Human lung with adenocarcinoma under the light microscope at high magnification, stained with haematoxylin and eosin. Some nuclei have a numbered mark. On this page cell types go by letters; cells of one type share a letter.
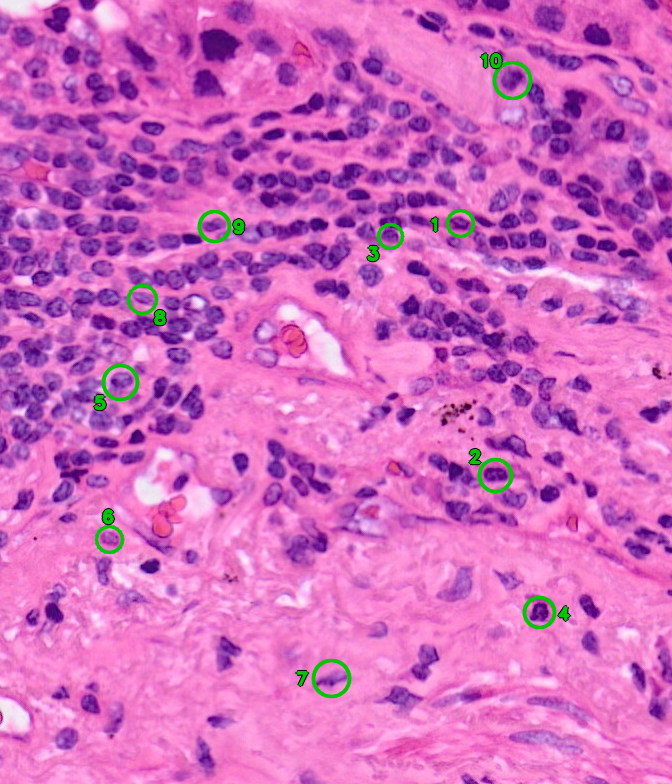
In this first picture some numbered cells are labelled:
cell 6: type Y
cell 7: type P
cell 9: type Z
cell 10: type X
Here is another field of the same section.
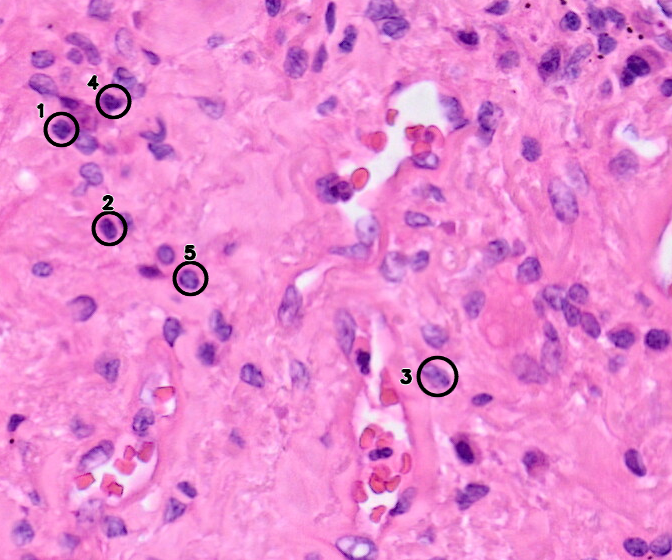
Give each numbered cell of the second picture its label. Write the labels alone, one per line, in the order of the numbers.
type Z
type Y
type P
type X
type Y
